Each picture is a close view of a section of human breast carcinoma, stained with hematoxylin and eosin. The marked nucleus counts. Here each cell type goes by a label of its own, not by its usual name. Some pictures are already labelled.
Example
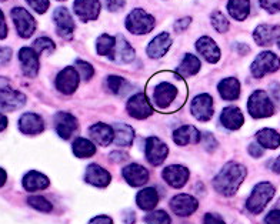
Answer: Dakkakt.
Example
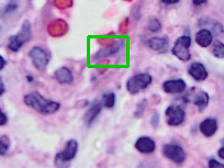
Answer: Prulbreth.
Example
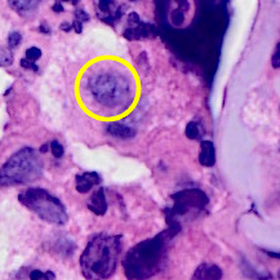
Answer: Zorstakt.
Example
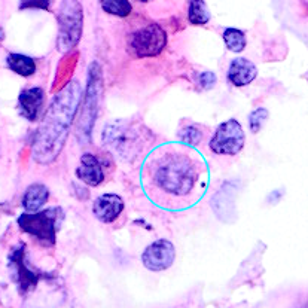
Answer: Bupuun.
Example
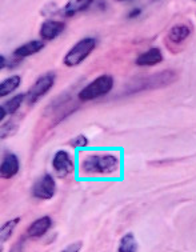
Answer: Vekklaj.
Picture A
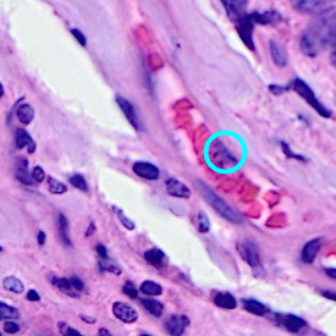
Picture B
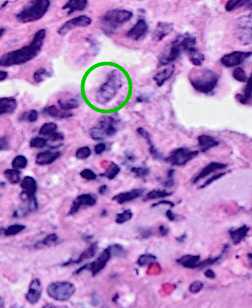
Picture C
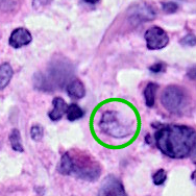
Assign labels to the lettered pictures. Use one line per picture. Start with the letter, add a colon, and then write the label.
A: Prulbreth.
B: Bupuun.
C: Bupuun.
